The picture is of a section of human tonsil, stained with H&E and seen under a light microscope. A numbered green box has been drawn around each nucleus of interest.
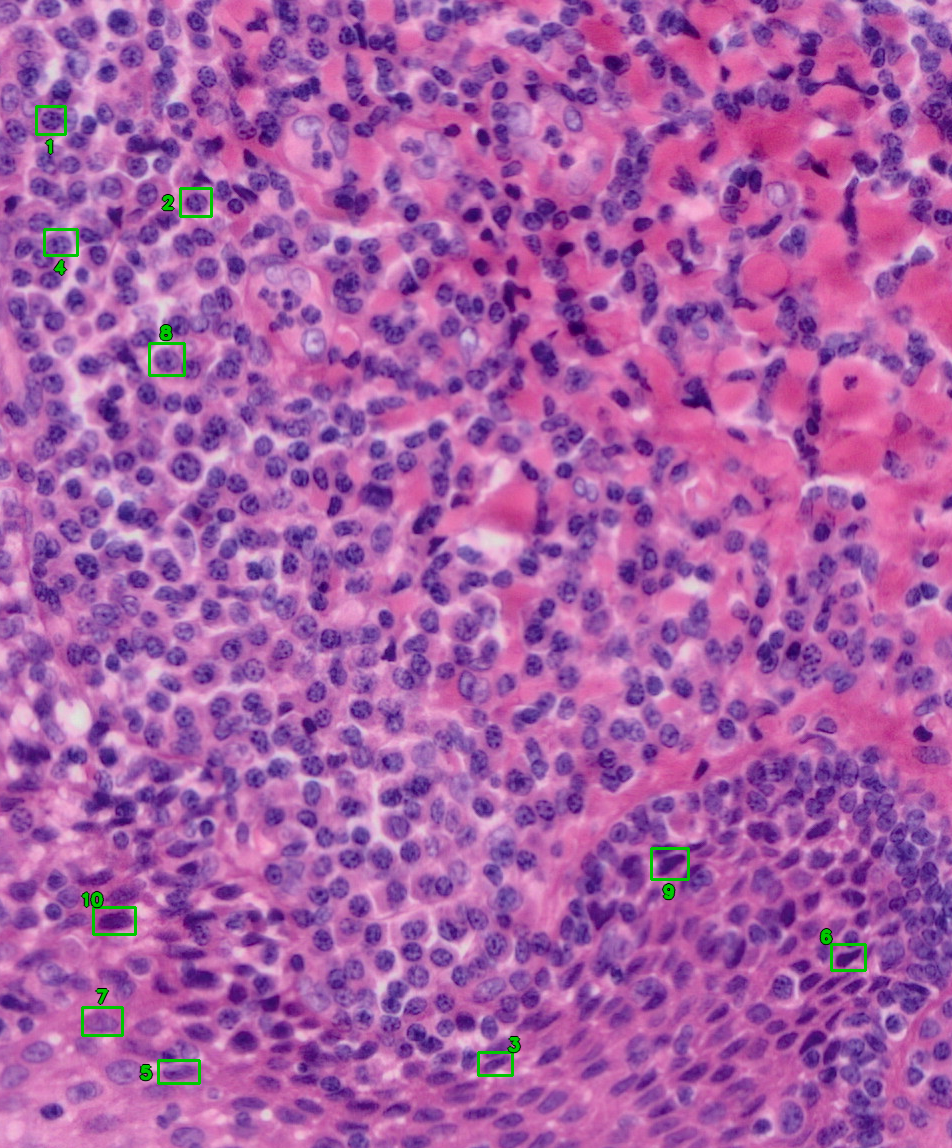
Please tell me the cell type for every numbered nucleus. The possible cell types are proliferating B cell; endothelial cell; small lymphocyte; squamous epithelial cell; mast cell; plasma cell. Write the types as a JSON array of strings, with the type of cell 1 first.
["plasma cell", "plasma cell", "squamous epithelial cell", "plasma cell", "squamous epithelial cell", "squamous epithelial cell", "squamous epithelial cell", "plasma cell", "squamous epithelial cell", "squamous epithelial cell"]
